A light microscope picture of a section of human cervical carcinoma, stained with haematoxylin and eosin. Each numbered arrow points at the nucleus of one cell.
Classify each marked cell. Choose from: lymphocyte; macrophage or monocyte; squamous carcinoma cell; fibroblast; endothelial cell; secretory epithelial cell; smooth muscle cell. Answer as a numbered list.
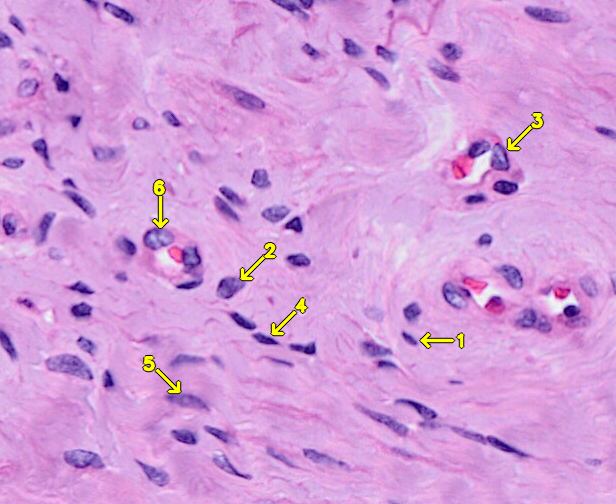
1. fibroblast
2. fibroblast
3. endothelial cell
4. fibroblast
5. fibroblast
6. endothelial cell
